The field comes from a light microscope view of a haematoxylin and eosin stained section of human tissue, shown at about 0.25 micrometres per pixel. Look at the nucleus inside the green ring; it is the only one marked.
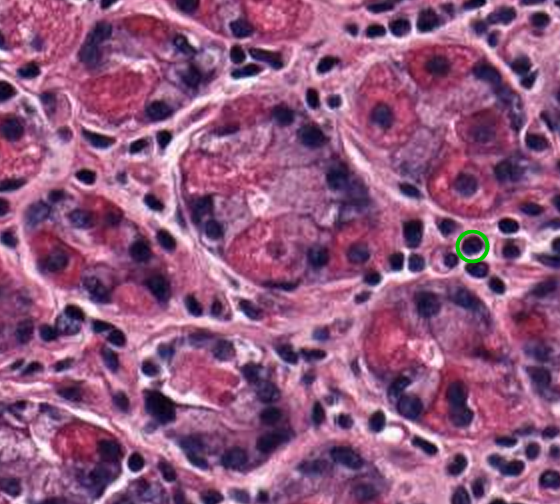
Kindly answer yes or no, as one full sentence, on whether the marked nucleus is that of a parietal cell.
No, the marked nucleus is contained in a supporting cell and not in a parietal cell.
